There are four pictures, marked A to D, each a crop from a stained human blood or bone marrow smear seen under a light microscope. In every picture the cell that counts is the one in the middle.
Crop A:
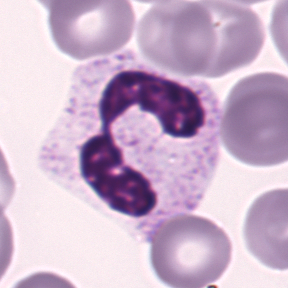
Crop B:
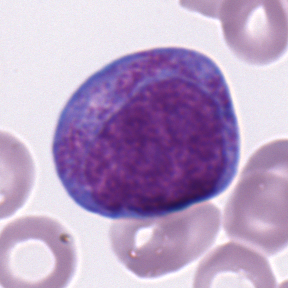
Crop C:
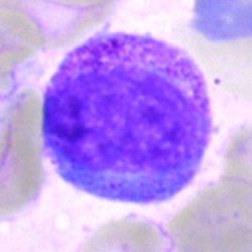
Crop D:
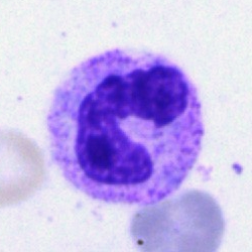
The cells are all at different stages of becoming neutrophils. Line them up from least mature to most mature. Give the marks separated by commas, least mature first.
B, C, D, A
